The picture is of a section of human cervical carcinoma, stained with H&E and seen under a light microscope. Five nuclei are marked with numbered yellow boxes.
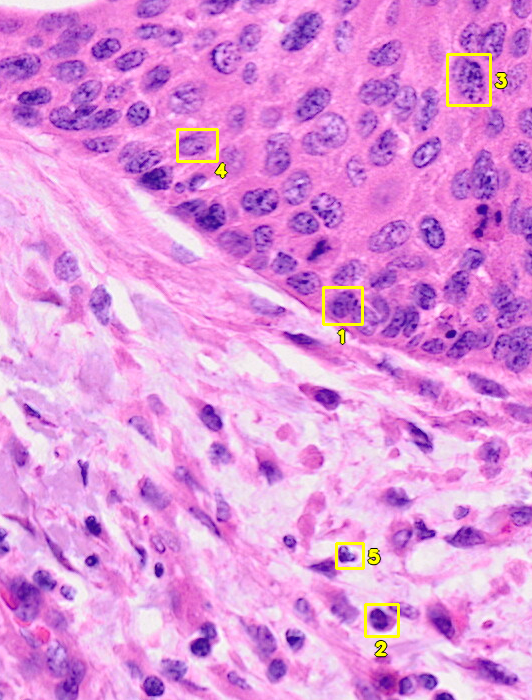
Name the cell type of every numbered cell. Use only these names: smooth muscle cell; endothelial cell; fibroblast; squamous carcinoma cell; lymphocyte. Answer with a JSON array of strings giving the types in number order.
["squamous carcinoma cell", "lymphocyte", "squamous carcinoma cell", "squamous carcinoma cell", "lymphocyte"]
